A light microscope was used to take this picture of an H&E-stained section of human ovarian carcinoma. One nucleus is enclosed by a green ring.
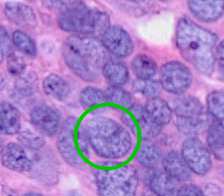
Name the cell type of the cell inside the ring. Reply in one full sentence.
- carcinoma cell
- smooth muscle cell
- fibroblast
For the purposes of cell typing, the cell inside the ring is categorized as a carcinoma cell.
